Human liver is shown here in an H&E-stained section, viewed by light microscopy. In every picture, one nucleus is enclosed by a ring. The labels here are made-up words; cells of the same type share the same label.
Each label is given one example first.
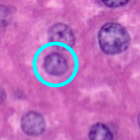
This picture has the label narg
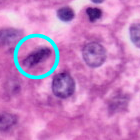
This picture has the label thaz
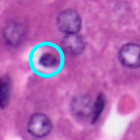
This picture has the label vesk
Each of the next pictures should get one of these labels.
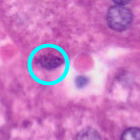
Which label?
thaz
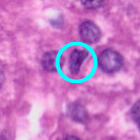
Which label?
thaz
